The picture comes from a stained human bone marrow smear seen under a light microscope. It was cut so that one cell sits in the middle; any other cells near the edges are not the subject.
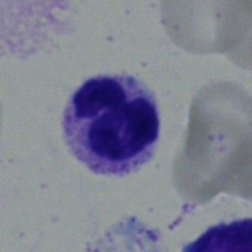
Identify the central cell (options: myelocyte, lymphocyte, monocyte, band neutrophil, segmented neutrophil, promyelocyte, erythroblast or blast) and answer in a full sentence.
The cell sitting right in the middle is a segmented neutrophil.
